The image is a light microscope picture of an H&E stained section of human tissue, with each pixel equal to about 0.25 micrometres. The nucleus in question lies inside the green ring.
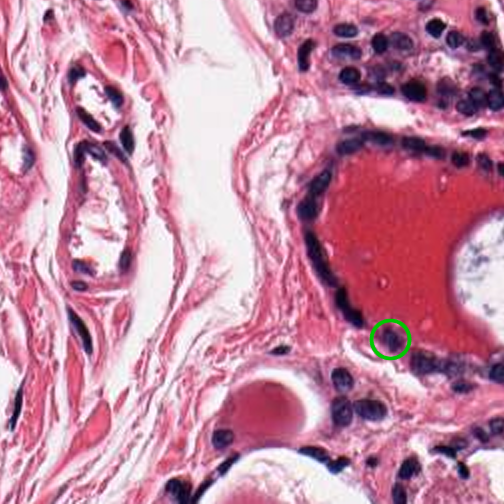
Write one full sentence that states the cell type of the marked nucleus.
The nucleus carrying the mark is the nucleus of a thyroid follicular cell.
